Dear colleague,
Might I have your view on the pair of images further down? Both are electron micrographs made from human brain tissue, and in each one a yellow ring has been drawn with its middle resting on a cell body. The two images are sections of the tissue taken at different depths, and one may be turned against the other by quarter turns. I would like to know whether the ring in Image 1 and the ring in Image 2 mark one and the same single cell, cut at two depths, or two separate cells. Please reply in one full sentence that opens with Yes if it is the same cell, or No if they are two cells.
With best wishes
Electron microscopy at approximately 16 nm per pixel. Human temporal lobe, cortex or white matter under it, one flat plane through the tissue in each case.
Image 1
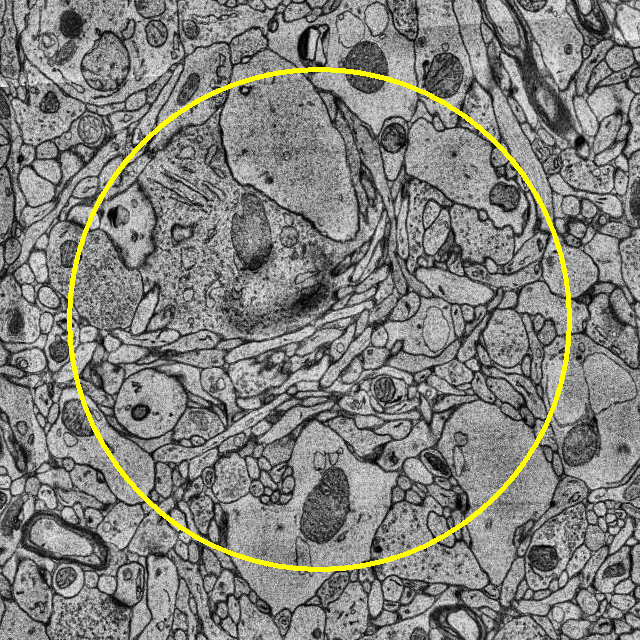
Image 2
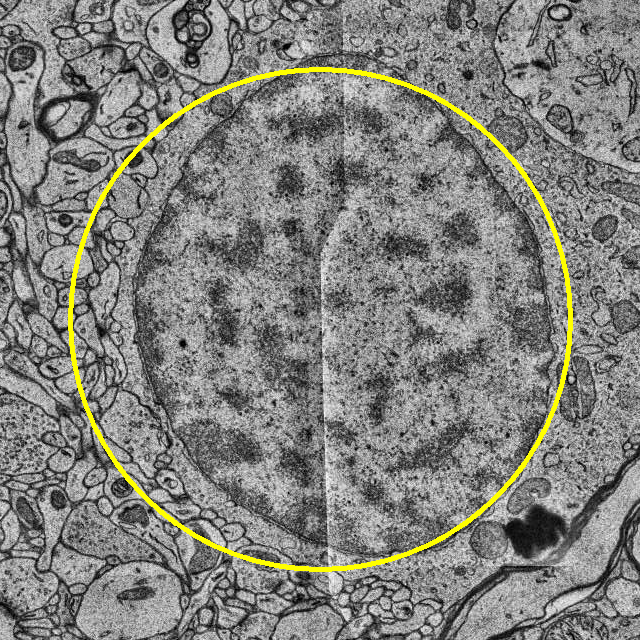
Yes, the two rings refer to one cell in the tissue.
